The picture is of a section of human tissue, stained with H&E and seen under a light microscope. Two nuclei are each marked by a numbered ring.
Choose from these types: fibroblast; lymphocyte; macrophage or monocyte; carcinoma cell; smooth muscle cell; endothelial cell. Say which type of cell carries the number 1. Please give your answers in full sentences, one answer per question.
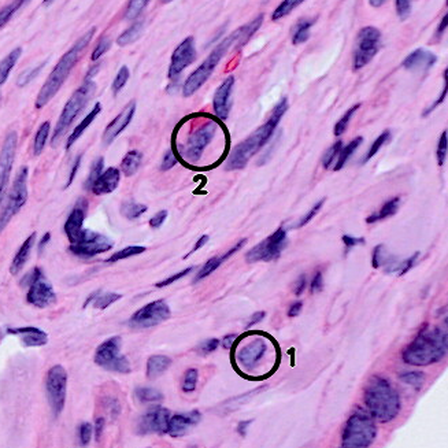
The label 1 in this section denotes a smooth muscle cell.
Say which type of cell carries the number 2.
Cell 2 in the field of view is an endothelial cell.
